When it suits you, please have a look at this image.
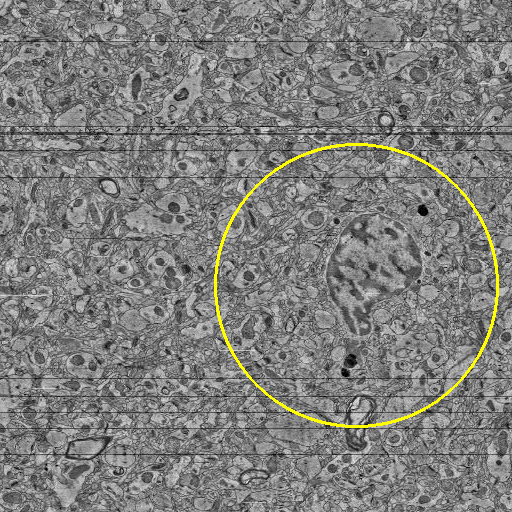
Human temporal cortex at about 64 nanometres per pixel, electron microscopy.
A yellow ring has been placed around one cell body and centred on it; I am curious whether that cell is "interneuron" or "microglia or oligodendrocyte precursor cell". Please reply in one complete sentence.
The ringed cell, a microglial cell or oligodendrocyte precursor cell, has its body at the centre of the yellow ring.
